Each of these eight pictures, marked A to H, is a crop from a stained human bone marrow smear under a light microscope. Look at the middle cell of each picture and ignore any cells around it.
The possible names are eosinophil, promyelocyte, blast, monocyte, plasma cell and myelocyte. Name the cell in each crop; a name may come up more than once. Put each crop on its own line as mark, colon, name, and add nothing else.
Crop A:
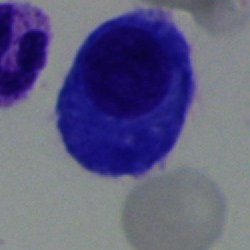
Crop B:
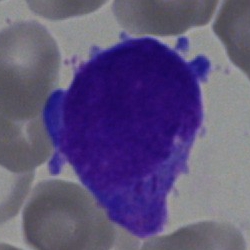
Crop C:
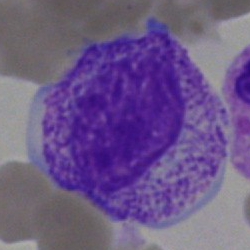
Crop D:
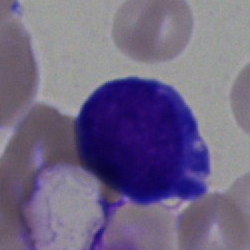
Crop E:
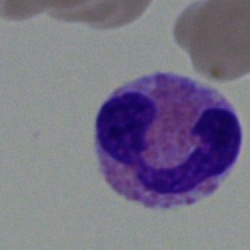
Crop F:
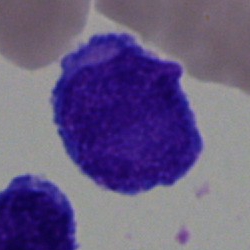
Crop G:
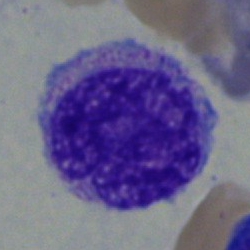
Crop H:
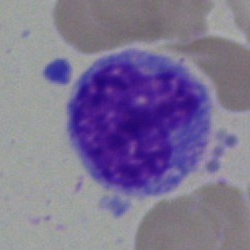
A: plasma cell
B: blast
C: myelocyte
D: blast
E: eosinophil
F: blast
G: myelocyte
H: monocyte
